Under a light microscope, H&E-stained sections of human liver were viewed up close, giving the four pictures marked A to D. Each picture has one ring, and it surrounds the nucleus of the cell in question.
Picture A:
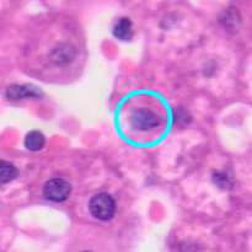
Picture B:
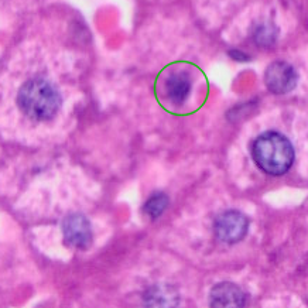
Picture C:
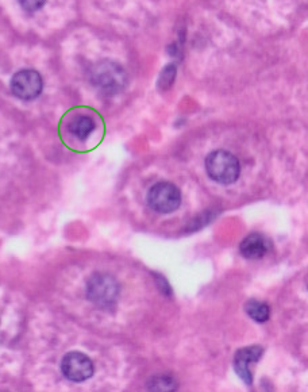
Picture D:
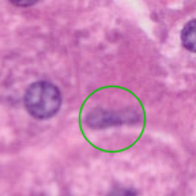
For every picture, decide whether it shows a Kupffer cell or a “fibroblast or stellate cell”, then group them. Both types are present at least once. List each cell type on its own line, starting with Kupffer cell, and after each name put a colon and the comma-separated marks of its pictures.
Kupffer cell: D
fibroblast or stellate cell: A, B, C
